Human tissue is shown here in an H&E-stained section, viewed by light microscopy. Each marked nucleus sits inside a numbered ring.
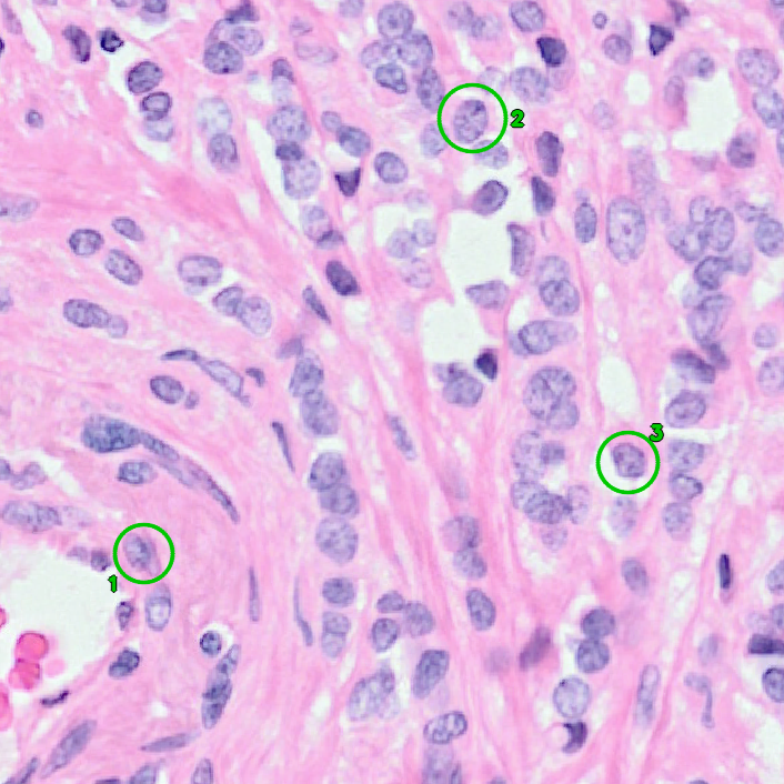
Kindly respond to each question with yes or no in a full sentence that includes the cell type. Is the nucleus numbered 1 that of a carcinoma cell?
No, instead of a carcinoma cell, the cell with number 1 is an endothelial cell.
